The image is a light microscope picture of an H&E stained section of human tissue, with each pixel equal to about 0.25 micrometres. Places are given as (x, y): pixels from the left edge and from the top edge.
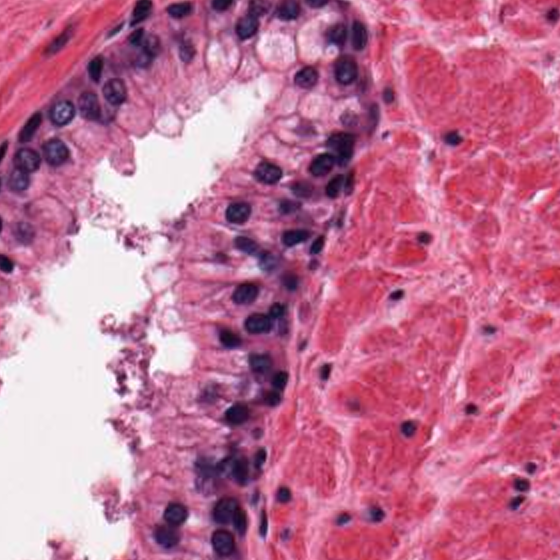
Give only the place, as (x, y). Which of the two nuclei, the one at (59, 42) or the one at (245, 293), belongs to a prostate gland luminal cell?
(245, 293)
